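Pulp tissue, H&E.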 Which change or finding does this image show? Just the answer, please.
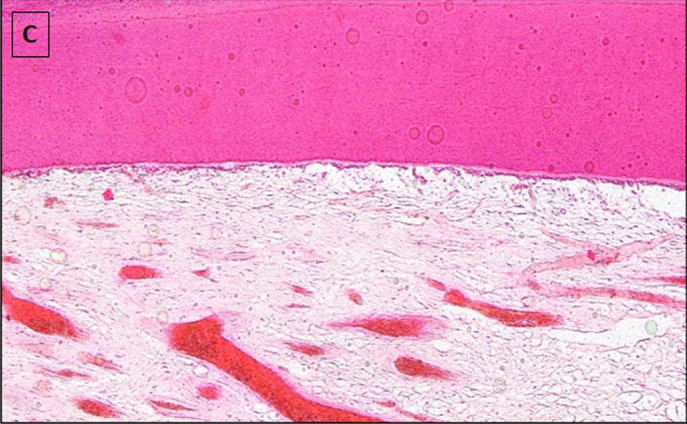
Hyperemia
